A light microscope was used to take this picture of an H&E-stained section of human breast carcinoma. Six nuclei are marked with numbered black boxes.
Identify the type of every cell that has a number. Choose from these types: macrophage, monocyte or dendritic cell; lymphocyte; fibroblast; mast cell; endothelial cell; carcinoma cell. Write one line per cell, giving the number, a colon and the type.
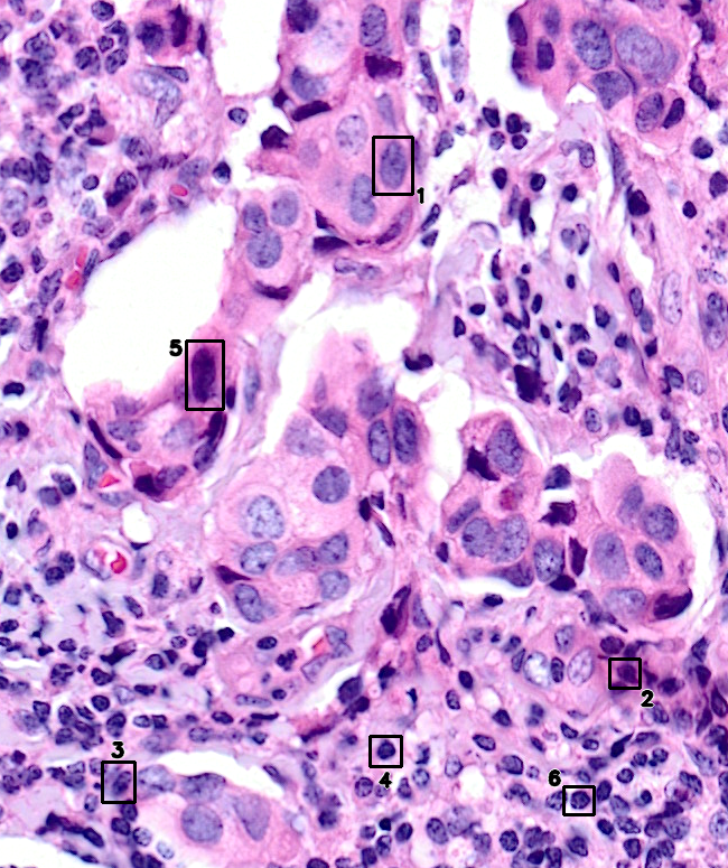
1: carcinoma cell
2: lymphocyte
3: lymphocyte
4: lymphocyte
5: carcinoma cell
6: lymphocyte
